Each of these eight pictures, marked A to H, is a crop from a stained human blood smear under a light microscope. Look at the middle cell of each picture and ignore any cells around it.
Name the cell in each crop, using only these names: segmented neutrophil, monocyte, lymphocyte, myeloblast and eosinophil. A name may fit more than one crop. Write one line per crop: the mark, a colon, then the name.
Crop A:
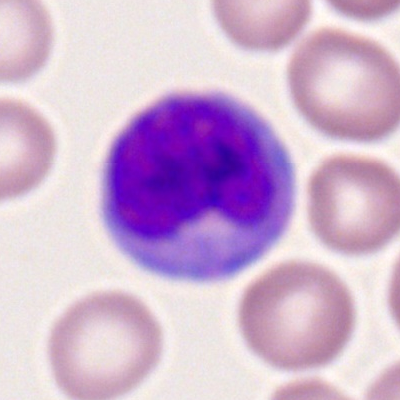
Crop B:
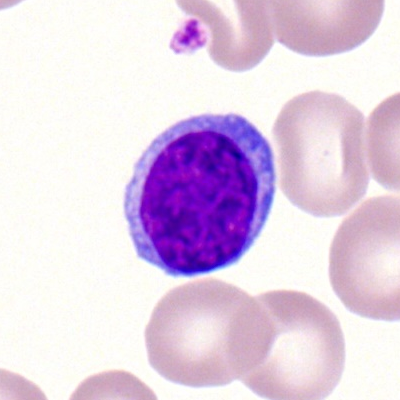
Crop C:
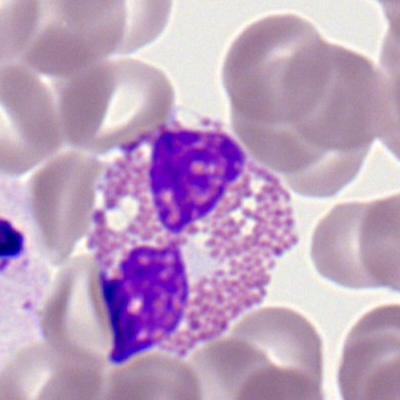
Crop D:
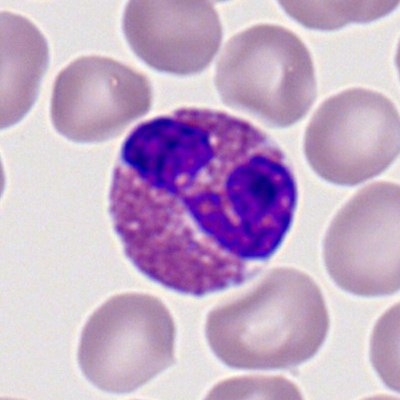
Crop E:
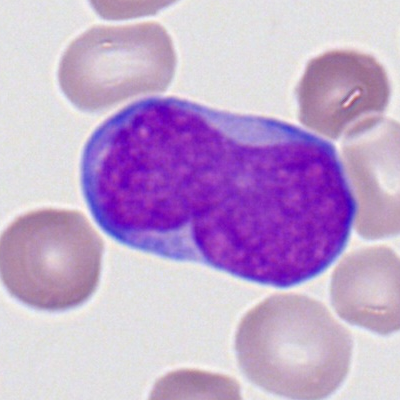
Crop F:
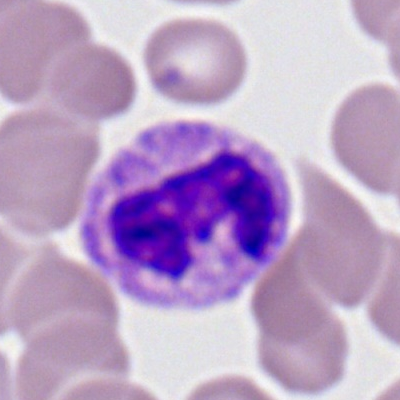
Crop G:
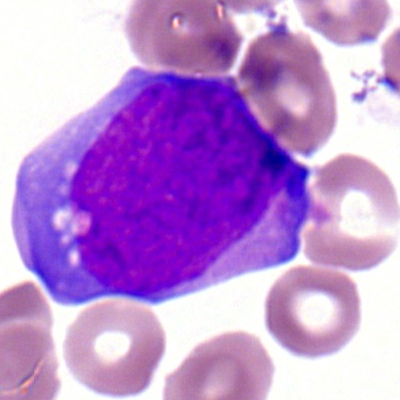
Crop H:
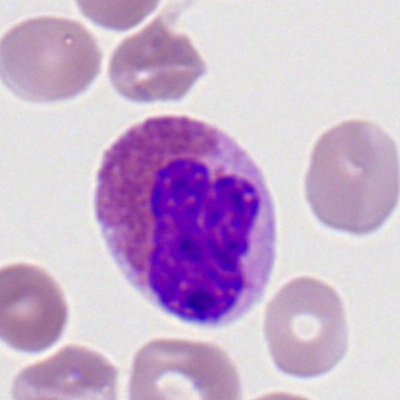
A: monocyte
B: lymphocyte
C: eosinophil
D: eosinophil
E: myeloblast
F: segmented neutrophil
G: myeloblast
H: eosinophil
